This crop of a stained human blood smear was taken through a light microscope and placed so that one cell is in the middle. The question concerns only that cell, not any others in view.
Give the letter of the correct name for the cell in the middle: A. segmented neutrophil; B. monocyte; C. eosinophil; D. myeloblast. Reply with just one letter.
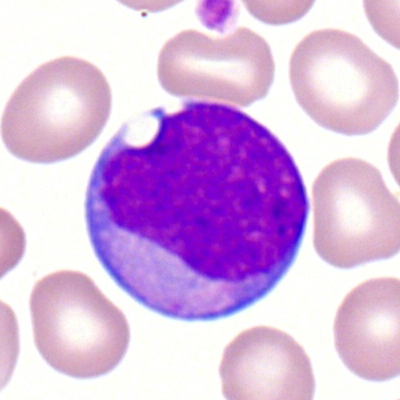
D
